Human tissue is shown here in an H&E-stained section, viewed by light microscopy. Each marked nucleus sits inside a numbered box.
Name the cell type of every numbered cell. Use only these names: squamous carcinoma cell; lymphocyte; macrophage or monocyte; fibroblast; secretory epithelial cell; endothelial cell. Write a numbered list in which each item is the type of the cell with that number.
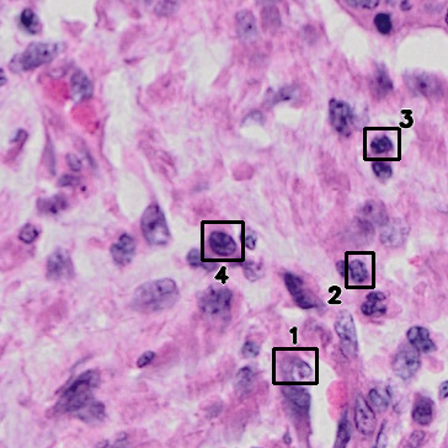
1. endothelial cell
2. lymphocyte
3. lymphocyte
4. lymphocyte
